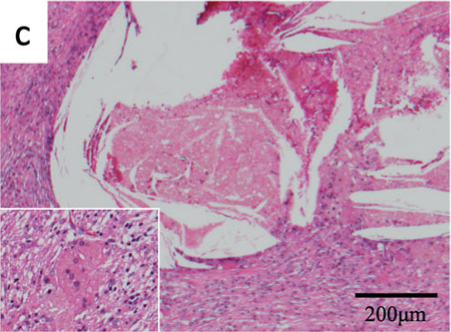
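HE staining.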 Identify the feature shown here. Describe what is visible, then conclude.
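Cholesterol clefts. Many narrow, sharp-edged, empty needle-shaped clefts lie in pale pink material inside the cyst. Clefts are elongated and angular, several pointing in parallel.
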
